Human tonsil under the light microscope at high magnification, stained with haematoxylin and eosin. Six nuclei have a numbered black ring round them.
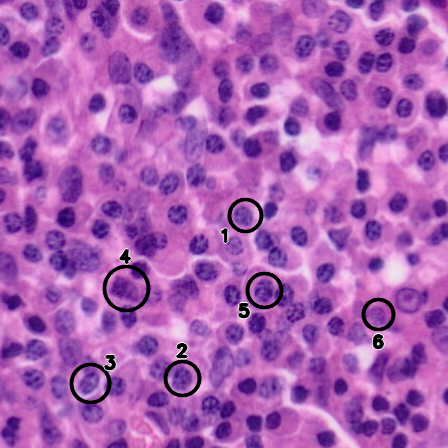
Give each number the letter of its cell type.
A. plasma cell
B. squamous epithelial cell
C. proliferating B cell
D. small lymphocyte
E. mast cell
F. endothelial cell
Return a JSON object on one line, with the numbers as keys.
{"1": "A", "2": "A", "3": "A", "4": "B", "5": "A", "6": "B"}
